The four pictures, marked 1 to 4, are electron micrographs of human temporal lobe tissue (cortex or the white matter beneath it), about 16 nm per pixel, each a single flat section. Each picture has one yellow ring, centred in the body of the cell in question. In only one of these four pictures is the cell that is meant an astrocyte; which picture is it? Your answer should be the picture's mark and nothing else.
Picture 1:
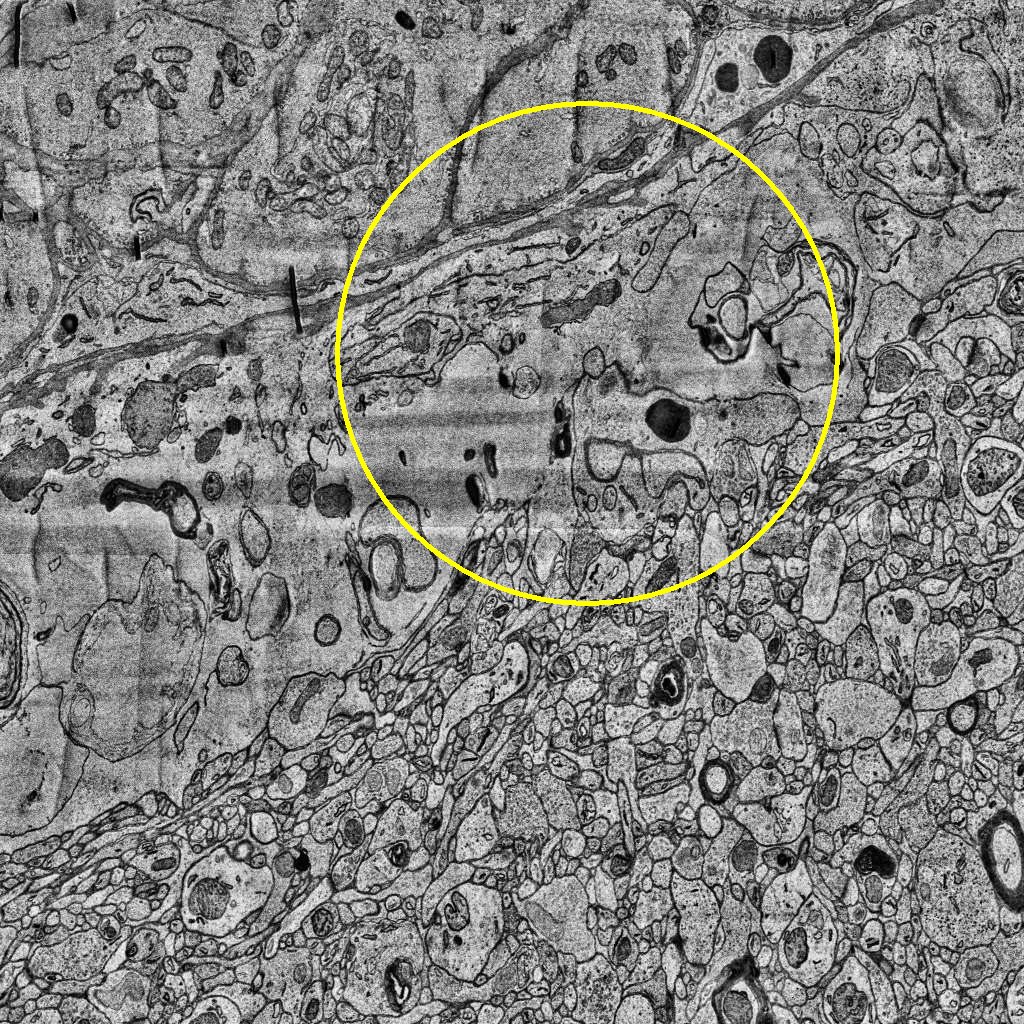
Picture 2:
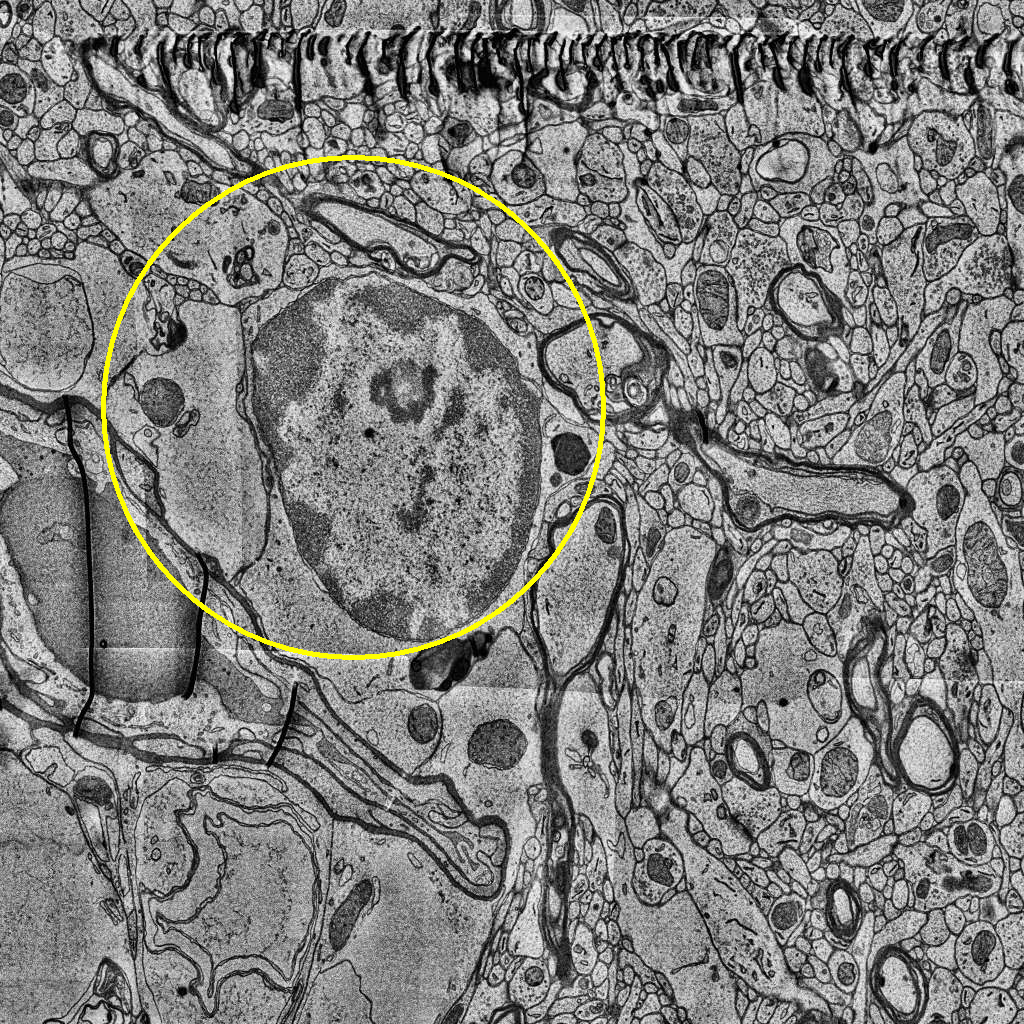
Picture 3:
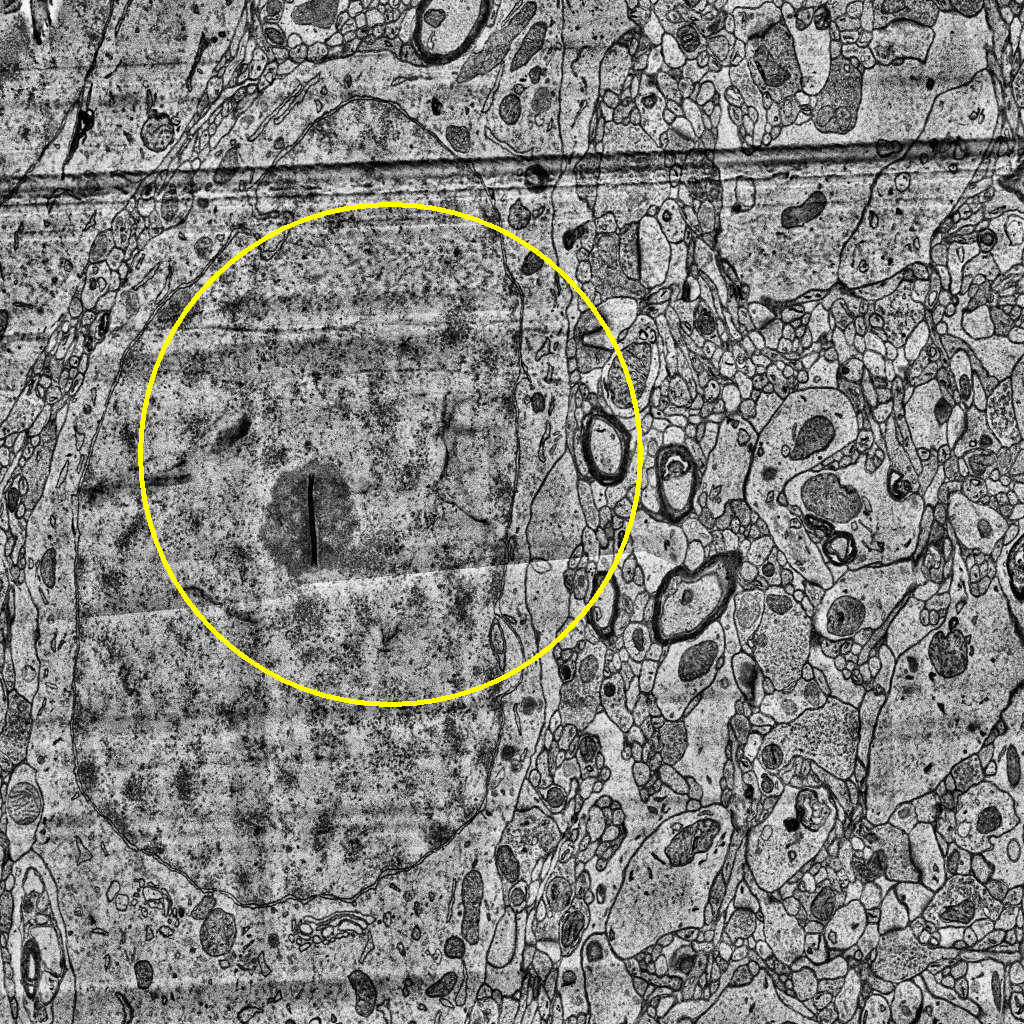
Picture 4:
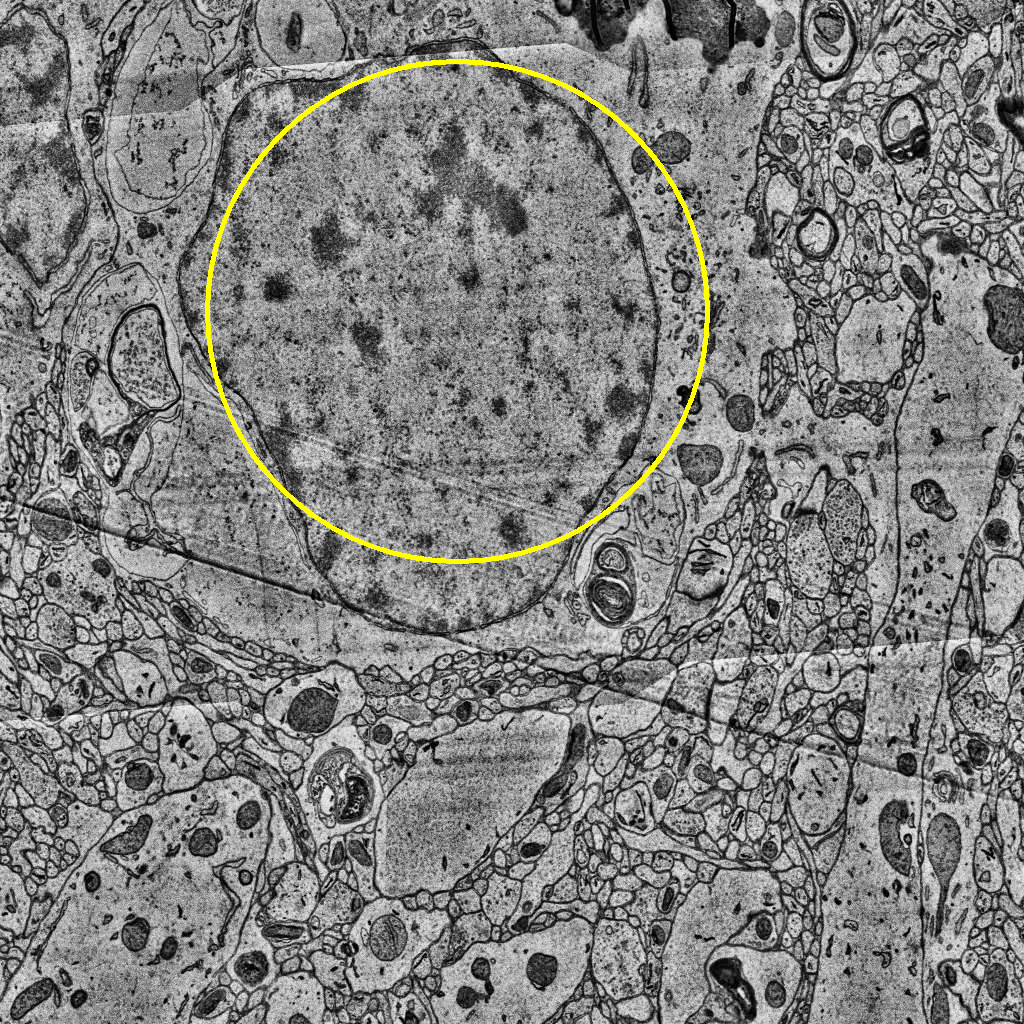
4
